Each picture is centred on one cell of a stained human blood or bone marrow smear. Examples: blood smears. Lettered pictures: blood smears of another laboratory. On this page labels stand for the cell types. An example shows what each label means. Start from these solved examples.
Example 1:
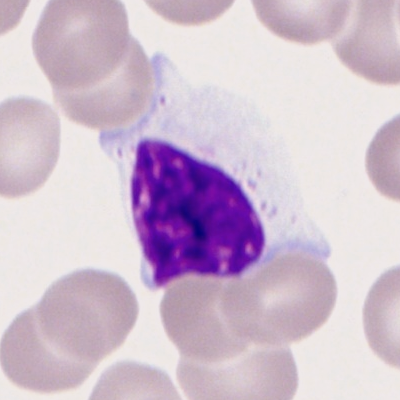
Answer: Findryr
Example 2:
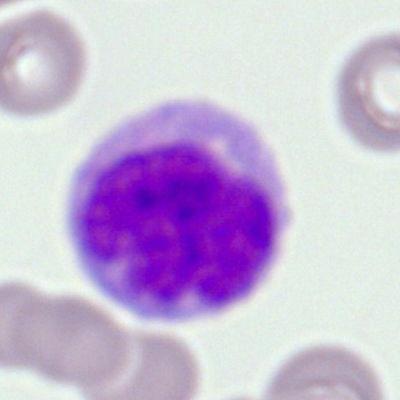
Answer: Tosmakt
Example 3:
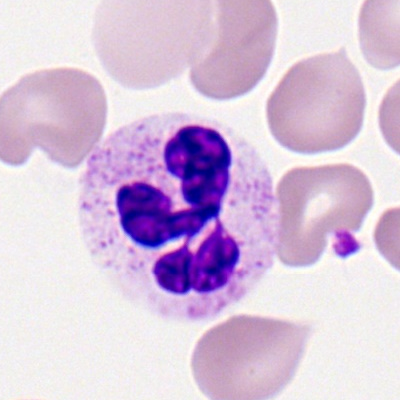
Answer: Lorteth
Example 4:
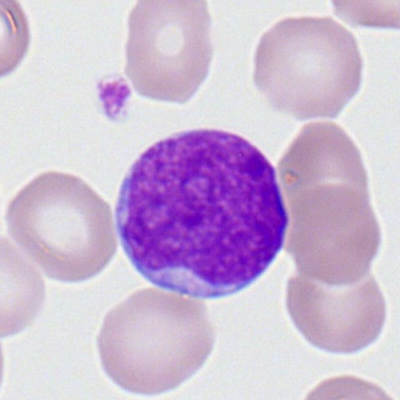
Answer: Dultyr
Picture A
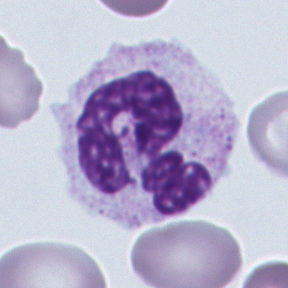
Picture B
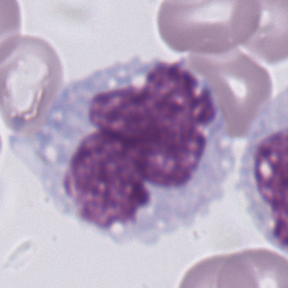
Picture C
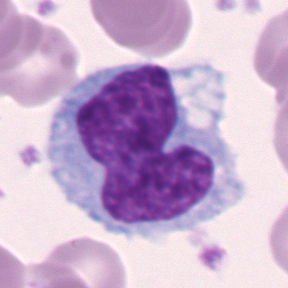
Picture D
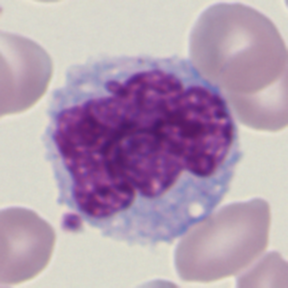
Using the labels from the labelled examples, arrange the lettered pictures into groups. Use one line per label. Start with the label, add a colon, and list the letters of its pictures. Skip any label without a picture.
Tosmakt: B, C, D
Lorteth: A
